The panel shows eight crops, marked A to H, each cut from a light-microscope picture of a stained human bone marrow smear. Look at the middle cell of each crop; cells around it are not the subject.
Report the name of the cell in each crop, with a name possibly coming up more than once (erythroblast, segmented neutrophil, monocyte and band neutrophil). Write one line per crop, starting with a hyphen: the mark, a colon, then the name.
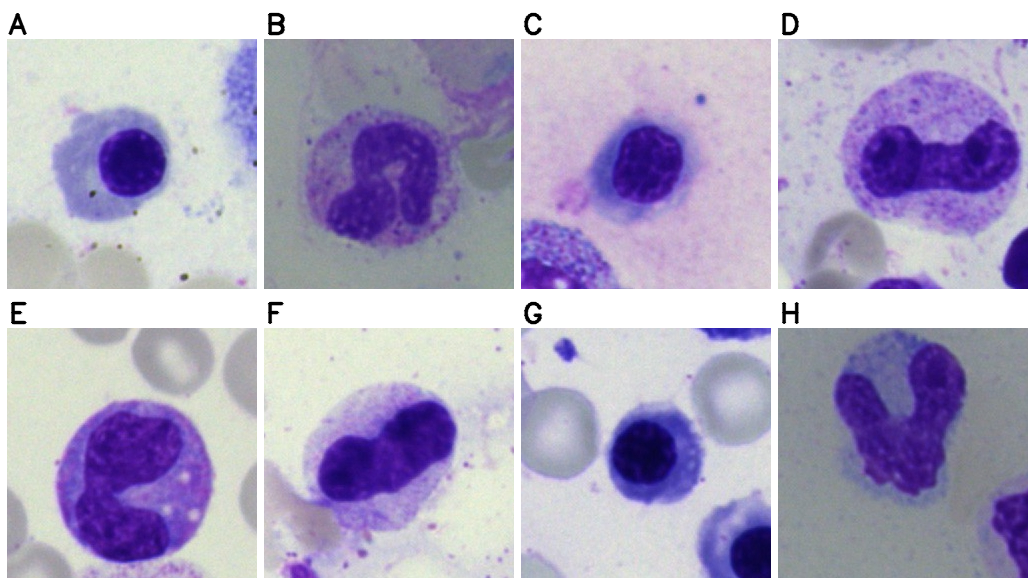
- A: erythroblast
- B: band neutrophil
- C: erythroblast
- D: band neutrophil
- E: monocyte
- F: band neutrophil
- G: erythroblast
- H: monocyte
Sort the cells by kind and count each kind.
erythroblast: 3
band neutrophil: 3
monocyte: 2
